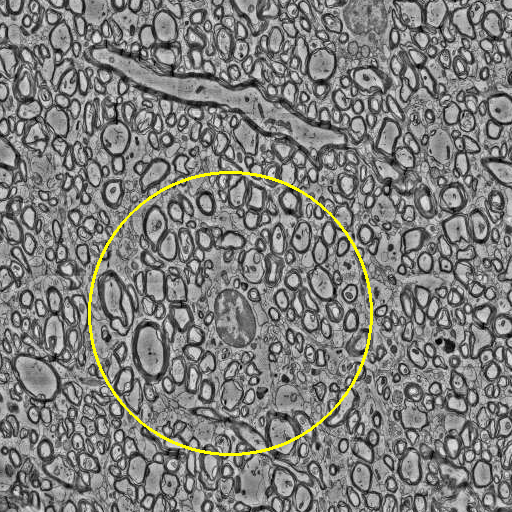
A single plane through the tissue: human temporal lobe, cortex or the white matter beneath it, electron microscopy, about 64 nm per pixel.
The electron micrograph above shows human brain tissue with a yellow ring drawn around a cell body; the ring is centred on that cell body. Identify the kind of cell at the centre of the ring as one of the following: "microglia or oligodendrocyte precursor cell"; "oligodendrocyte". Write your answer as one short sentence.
The cell at the centre of the ring is a microglial cell or oligodendrocyte precursor cell.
